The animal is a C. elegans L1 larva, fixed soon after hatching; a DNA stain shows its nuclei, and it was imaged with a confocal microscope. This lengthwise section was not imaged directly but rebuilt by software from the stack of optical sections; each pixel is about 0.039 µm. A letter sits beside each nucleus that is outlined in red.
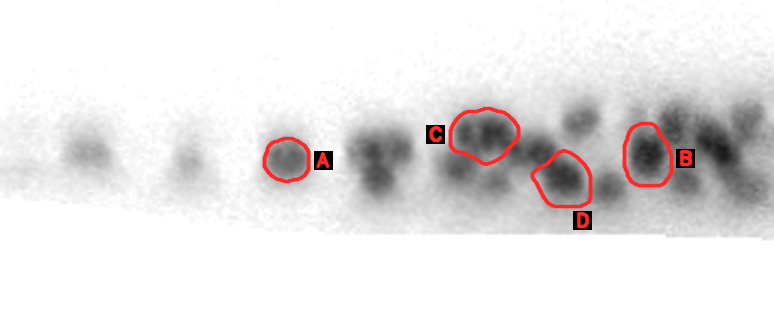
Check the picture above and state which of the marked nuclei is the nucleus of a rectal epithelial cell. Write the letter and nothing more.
B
